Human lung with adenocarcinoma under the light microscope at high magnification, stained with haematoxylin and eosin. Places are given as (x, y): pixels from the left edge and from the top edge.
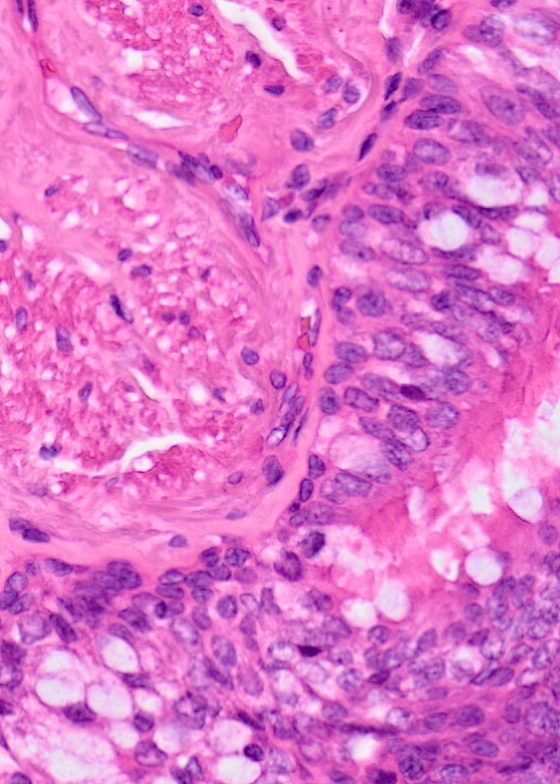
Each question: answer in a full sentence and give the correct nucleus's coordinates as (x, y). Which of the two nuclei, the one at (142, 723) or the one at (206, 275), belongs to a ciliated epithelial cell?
Out of the two, it is the nucleus at (142, 723) that belongs to a ciliated epithelial cell.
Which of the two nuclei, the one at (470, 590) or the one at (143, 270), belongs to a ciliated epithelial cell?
The nucleus at (470, 590), rather than the other one, belongs to a ciliated epithelial cell.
